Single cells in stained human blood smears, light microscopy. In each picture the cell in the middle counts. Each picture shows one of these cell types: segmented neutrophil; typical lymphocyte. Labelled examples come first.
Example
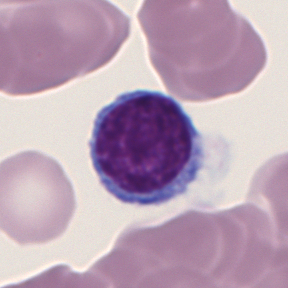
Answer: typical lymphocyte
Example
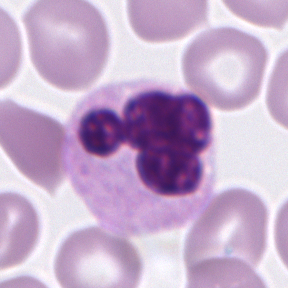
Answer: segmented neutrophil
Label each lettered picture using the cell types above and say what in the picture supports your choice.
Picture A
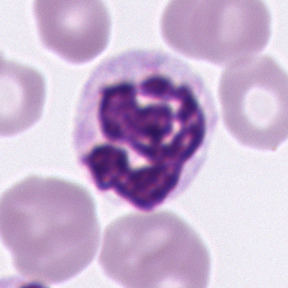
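segmented neutrophil. Evidence: The nucleus is divided into several connected lobes curled into a loop.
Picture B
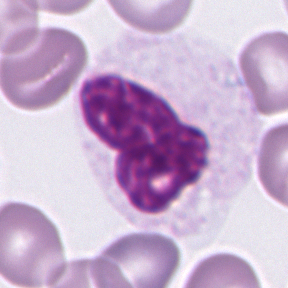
segmented neutrophil. Evidence: The nucleus is folded into two overlapping lobes.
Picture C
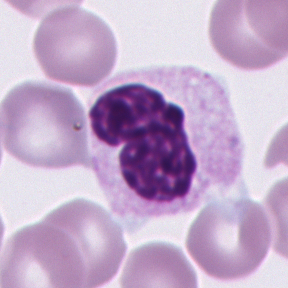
segmented neutrophil. Evidence: The cytoplasm is abundant and pale greyish-lilac, widest on the right side.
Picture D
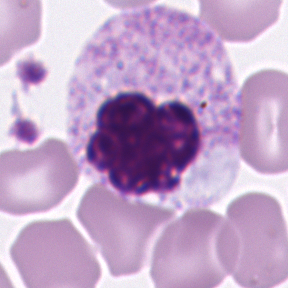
segmented neutrophil. Evidence: The cytoplasm is abundant, covering more area than the nucleus.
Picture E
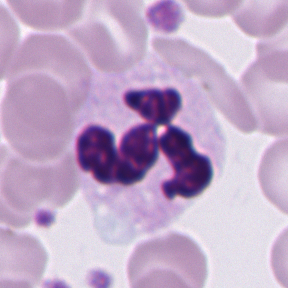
segmented neutrophil. Evidence: The cytoplasm is plentiful and pale pinkish-lilac.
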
